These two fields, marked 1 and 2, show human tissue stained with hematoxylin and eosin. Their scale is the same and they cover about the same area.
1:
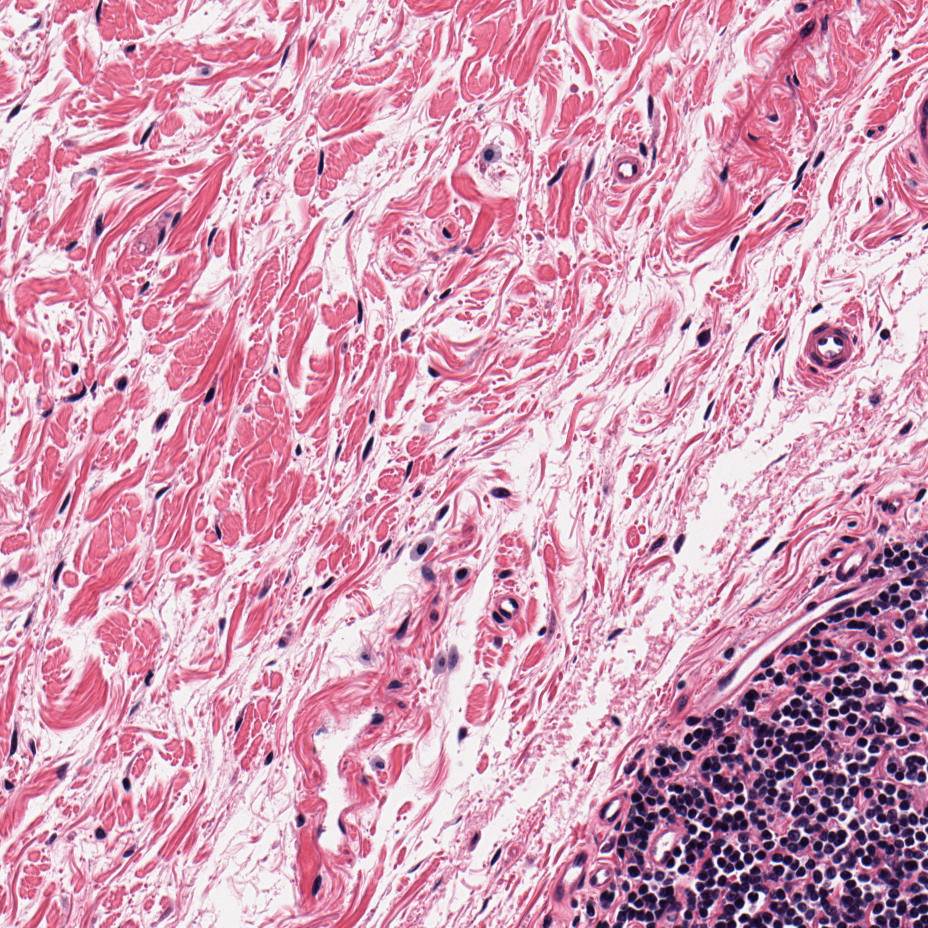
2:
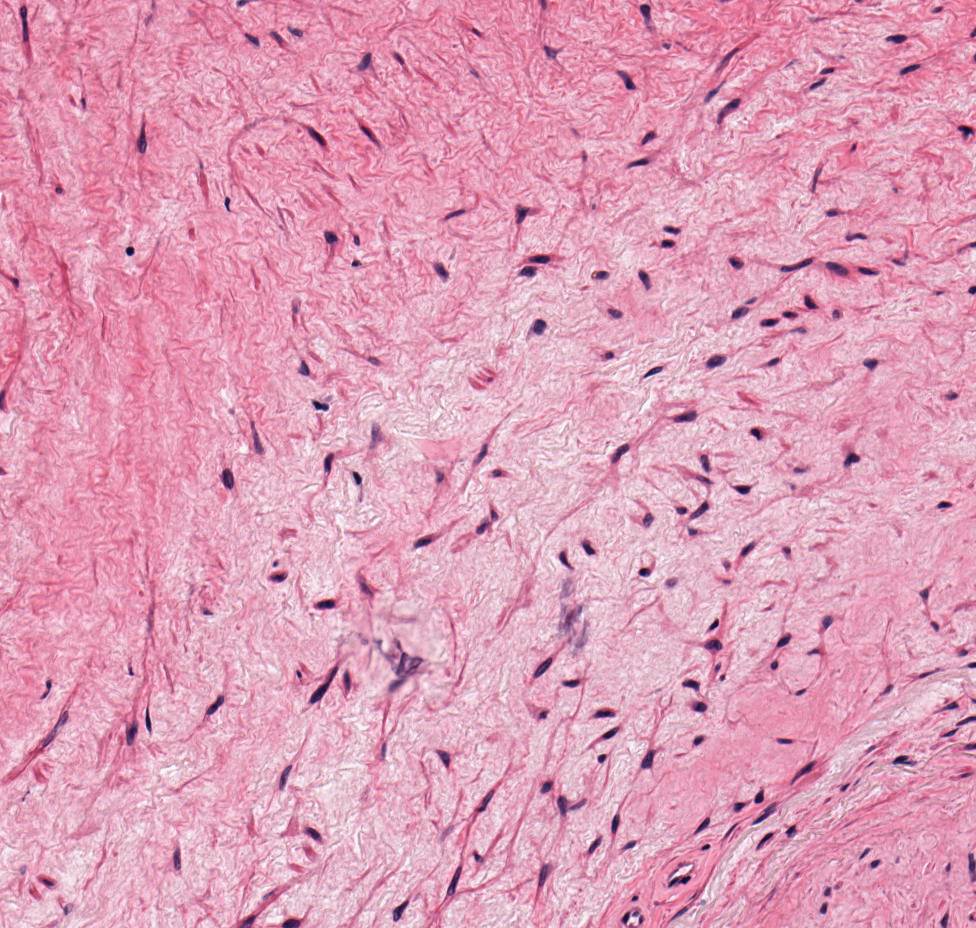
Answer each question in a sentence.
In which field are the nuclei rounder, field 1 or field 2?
Rounder nuclei lie in field 1.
